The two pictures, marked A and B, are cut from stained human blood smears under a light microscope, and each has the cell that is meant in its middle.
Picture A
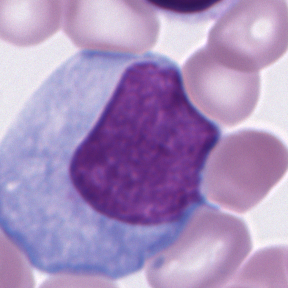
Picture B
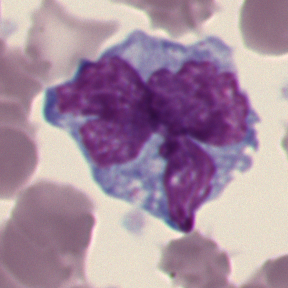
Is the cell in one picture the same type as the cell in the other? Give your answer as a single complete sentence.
No, they differ: the cell is a myeloblast in picture A and a monocyte in picture B.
